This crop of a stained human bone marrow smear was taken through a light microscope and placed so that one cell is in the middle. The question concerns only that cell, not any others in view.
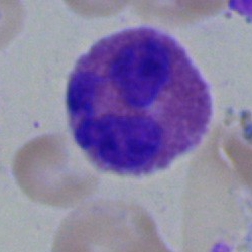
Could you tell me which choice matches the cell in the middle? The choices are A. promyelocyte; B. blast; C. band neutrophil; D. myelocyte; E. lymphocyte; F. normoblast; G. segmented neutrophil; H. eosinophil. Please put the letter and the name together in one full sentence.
The cell placed in the middle is an eosinophil; option H is correct.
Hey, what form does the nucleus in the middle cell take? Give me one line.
Two or more lobes make up the nucleus of this cell.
